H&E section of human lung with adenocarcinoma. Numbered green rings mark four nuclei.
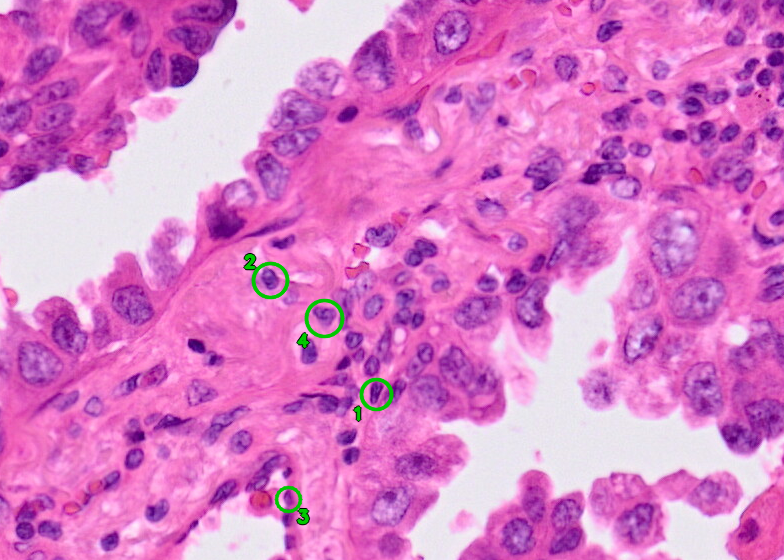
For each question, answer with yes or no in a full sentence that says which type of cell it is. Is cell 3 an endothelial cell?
Yes, the cell distinguished by number 3 is an endothelial cell.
